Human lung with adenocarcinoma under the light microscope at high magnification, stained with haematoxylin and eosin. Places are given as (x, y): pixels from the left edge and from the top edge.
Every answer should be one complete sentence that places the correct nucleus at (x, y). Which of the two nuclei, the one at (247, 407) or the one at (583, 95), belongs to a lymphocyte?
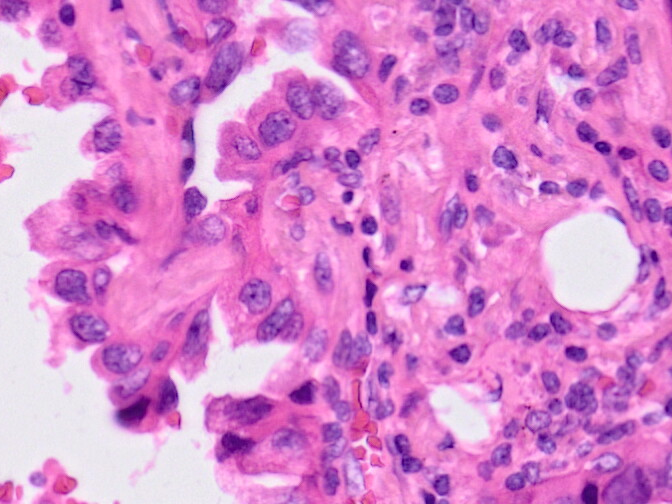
The nucleus positioned at (583, 95) forms part of a lymphocyte.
